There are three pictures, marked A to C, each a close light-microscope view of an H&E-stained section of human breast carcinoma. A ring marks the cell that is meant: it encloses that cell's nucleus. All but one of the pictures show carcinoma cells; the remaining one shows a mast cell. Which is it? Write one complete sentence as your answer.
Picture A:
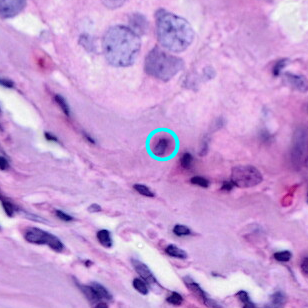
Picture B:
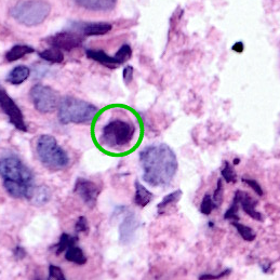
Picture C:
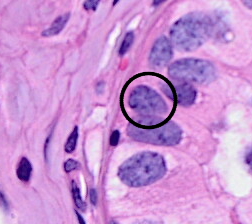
The cell in picture A is the mast cell.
